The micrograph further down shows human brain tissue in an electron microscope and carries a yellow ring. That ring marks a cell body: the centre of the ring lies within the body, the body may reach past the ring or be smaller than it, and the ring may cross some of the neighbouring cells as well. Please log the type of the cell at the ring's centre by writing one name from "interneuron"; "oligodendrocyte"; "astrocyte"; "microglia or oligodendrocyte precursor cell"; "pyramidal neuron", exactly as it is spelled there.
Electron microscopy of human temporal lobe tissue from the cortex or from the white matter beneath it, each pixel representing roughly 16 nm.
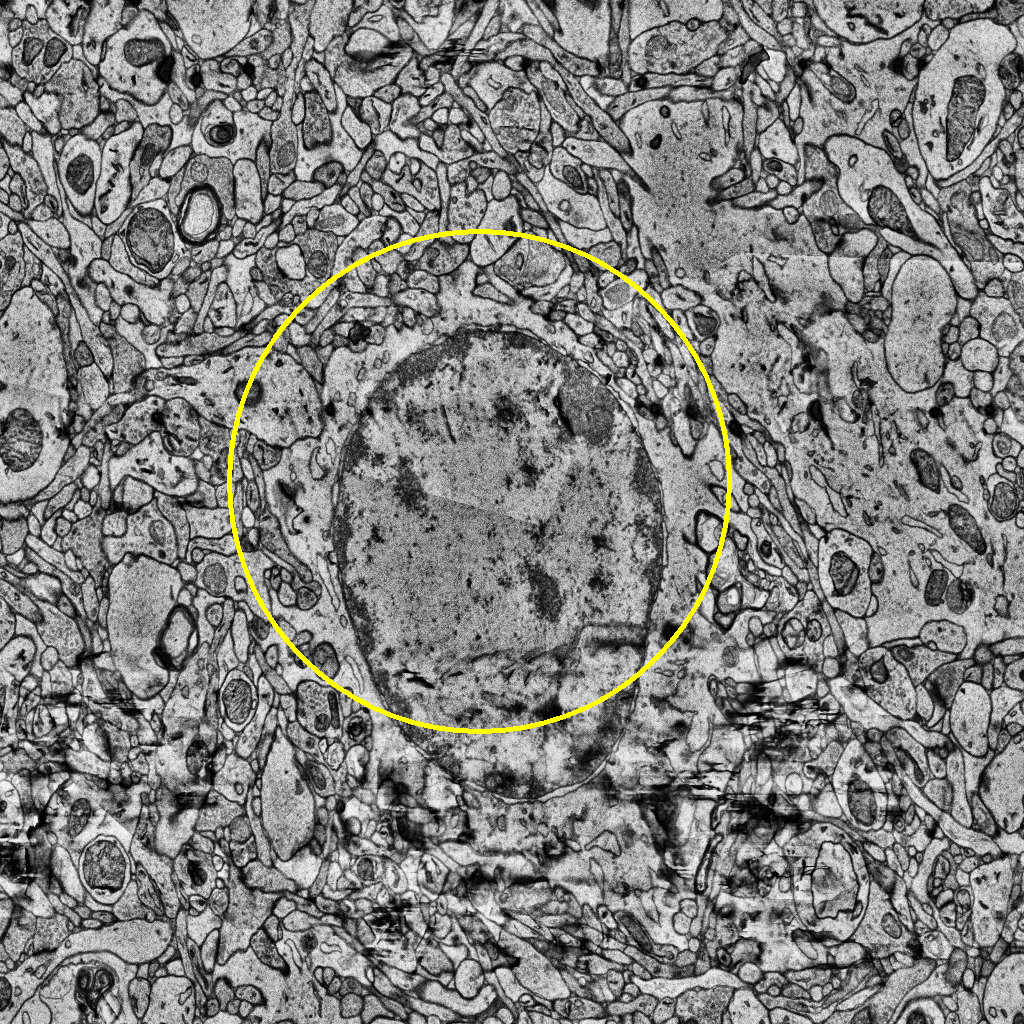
astrocyte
